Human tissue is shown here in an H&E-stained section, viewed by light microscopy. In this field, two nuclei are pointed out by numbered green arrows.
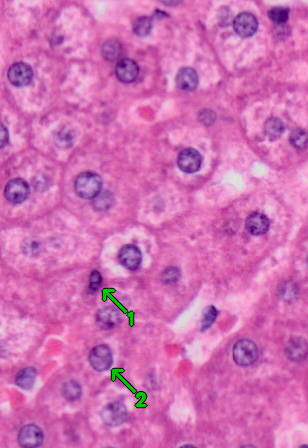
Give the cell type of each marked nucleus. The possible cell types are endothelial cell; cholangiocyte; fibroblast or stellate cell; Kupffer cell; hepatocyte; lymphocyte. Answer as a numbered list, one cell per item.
1. fibroblast or stellate cell
2. hepatocyte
